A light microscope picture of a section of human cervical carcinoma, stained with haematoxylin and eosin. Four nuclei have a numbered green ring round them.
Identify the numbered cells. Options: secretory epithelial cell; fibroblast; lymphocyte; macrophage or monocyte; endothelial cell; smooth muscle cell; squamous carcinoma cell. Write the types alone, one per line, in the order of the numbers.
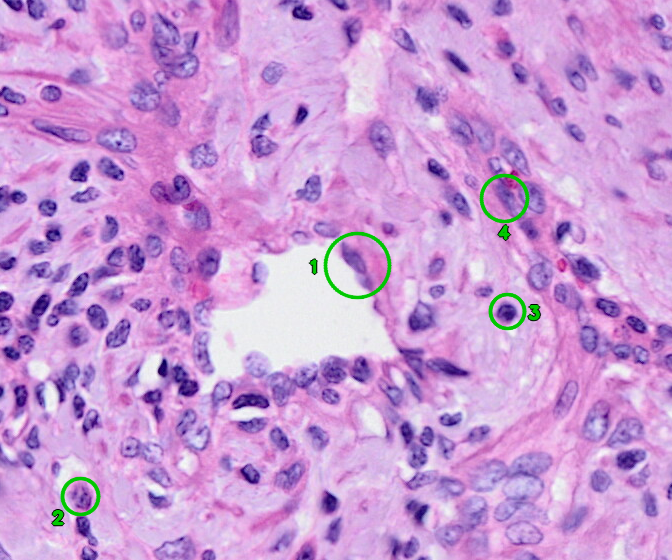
endothelial cell
macrophage or monocyte
lymphocyte
endothelial cell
